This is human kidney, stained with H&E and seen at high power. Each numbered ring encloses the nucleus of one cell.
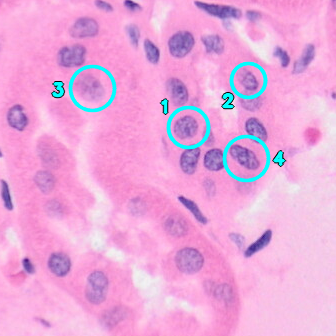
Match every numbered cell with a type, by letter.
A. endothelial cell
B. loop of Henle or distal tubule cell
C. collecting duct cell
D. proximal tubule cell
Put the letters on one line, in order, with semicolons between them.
C; C; D; C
